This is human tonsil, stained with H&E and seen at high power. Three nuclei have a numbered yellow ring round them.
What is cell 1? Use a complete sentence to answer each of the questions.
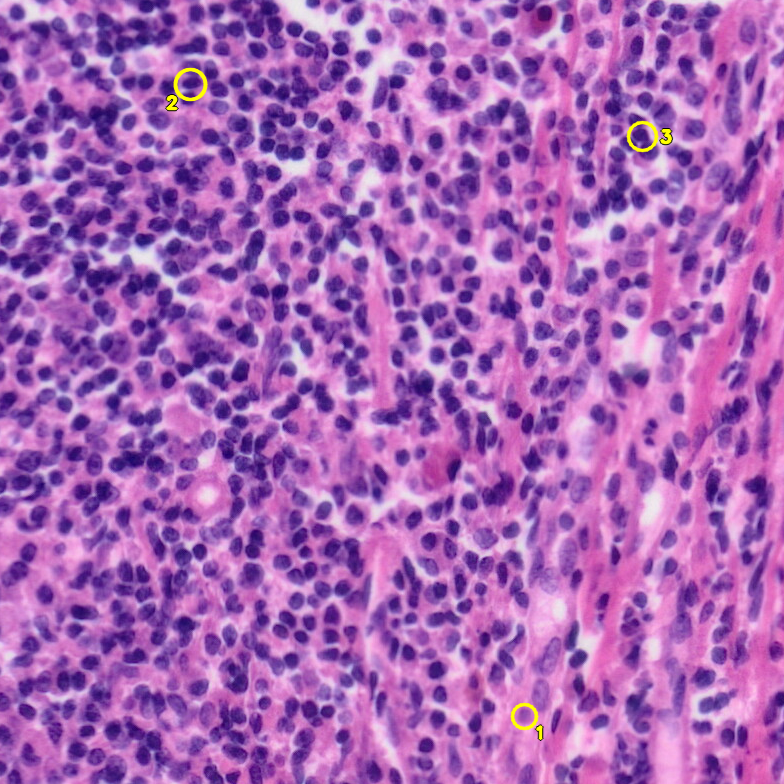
In this section, the cell tagged 1 is an endothelial cell.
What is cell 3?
The one labeled 3 is a small lymphocyte, to put it simply.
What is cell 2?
The cell to which the number 2 is assigned is a small lymphocyte.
